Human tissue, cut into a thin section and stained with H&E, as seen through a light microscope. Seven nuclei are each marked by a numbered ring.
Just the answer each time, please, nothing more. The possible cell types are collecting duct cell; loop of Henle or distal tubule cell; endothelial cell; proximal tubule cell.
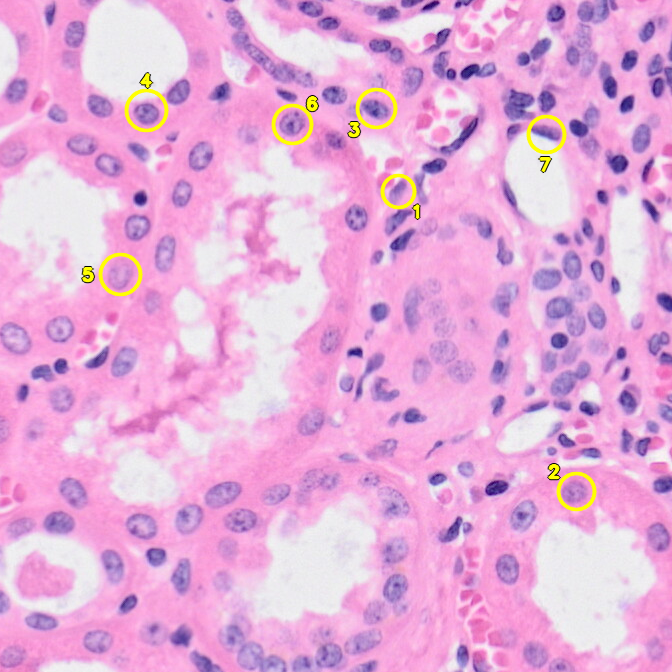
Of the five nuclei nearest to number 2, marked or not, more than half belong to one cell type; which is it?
endothelial cell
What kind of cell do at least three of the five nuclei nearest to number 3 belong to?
collecting duct cell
